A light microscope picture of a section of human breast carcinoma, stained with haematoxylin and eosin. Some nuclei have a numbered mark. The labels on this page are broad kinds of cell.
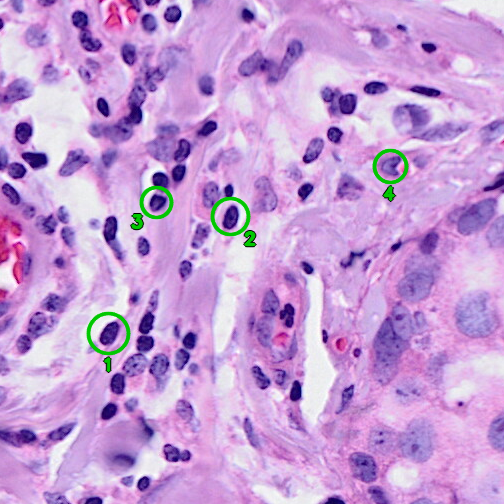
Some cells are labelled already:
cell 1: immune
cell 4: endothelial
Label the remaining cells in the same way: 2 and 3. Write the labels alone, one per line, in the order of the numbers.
immune
immune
